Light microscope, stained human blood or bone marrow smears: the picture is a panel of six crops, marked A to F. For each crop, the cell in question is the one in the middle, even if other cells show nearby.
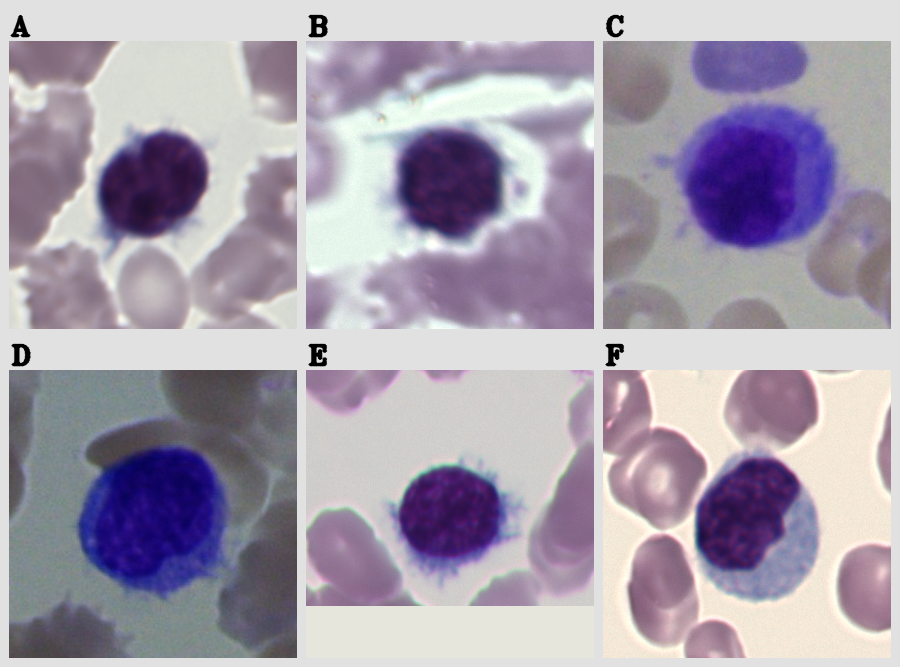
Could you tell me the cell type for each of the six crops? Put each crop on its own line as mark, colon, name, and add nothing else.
A: hairy cell
B: hairy cell
C: hairy cell
D: monocyte
E: hairy cell
F: monocyte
